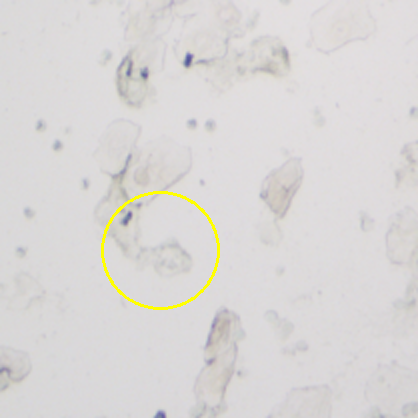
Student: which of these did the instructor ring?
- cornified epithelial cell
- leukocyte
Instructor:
The cell I ringed is a cornified epithelial cell.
